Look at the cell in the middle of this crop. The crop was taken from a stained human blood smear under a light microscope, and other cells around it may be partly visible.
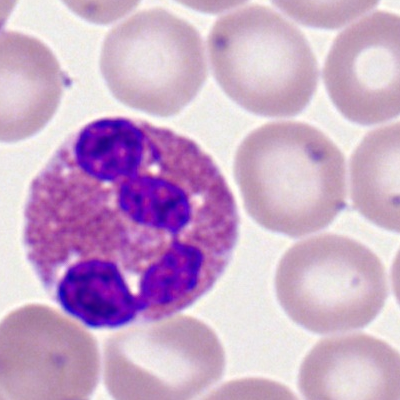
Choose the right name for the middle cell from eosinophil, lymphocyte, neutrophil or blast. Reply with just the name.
eosinophil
